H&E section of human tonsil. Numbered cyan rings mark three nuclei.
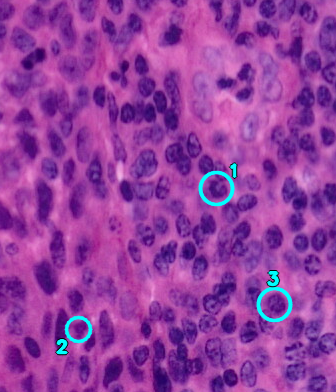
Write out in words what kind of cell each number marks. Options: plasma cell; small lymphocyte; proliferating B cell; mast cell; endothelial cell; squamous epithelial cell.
Cells 1 and 3 are plasma cells. Cell 2 is a squamous epithelial cell.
